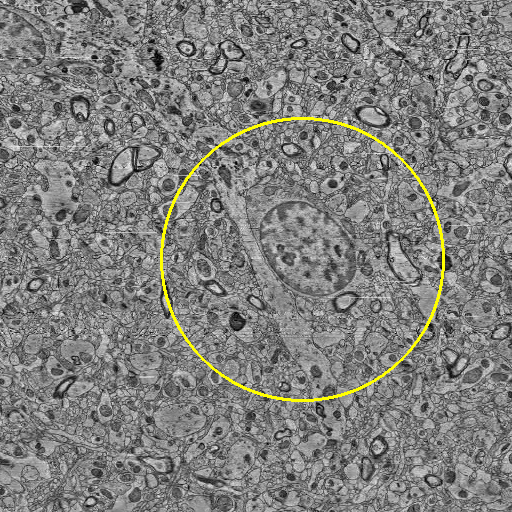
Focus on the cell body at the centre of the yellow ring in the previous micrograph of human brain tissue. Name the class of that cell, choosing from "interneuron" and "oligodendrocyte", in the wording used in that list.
oligodendrocyte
